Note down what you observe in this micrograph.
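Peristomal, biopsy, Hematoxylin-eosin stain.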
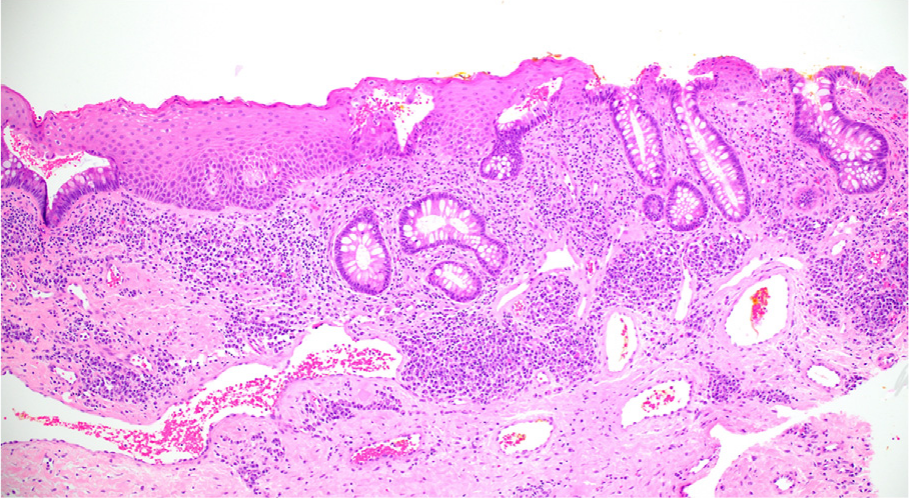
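Skin with intestinal-type colonic crypts. At the left, the surface is covered by a thickened layer of pink stratified squamous epithelium. Toward the right, the surface is made of glands lined by tall columnar cells with many pale goblet cells, and some glands open onto the surface. Beneath the surface, further crypts lie within a stroma densely filled with small dark round nuclei of lymphocytes and plasma cells. Deeper, the tissue is pinker and more fibrous, with scattered blood vessels containing red cells.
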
